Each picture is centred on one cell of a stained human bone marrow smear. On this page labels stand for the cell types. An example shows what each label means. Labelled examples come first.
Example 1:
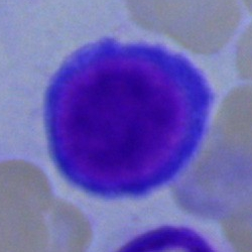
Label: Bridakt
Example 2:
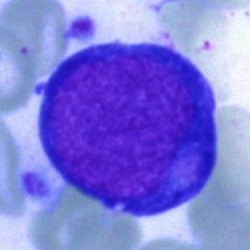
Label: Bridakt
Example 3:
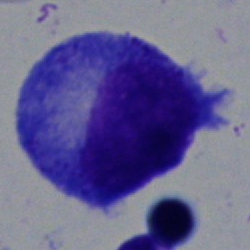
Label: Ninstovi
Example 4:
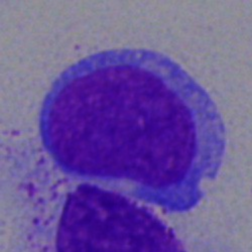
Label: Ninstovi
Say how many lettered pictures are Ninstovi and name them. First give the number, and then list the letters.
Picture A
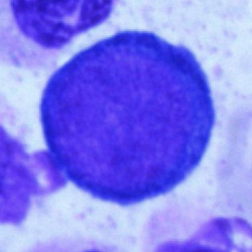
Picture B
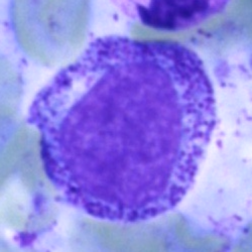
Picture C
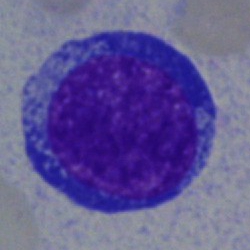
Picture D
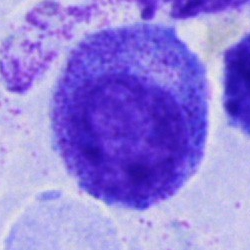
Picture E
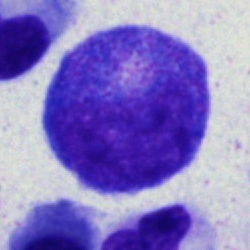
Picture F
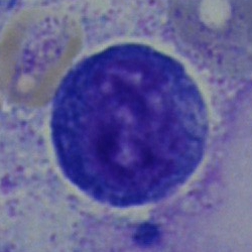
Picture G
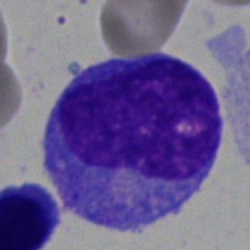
Count: 5 (B, D, E, F, G)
